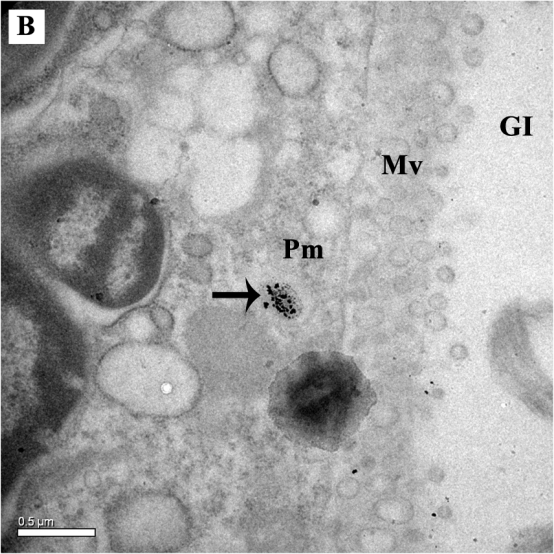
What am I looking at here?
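Transmission electron micrograph of the apical part of an intestinal epithelial cell, with a microvillar border facing the gut lumen at one side and cytoplasm with numerous rounded pale vesicles and vacuoles of varying size. Larger electron-dense bodies lie deeper in the cytoplasm, and a small cluster of black granules sits within the cytoplasm below the microvilli.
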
